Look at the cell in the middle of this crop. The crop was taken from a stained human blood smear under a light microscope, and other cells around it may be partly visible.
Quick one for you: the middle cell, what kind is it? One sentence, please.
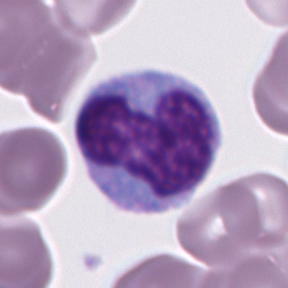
The middle position in this crop is taken by a monocyte.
